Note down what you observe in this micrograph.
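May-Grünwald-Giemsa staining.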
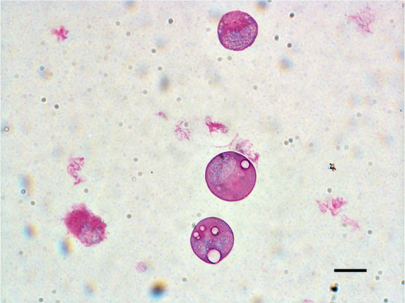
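The largest cells have a sharp outline and a violet-purple, finely mottled cytoplasm. Several of them contain one or more clear, round, unstained vacuoles of different sizes. Smaller, irregular pink fragments lie between the cells. The background is pale, with fine scattered particles.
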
